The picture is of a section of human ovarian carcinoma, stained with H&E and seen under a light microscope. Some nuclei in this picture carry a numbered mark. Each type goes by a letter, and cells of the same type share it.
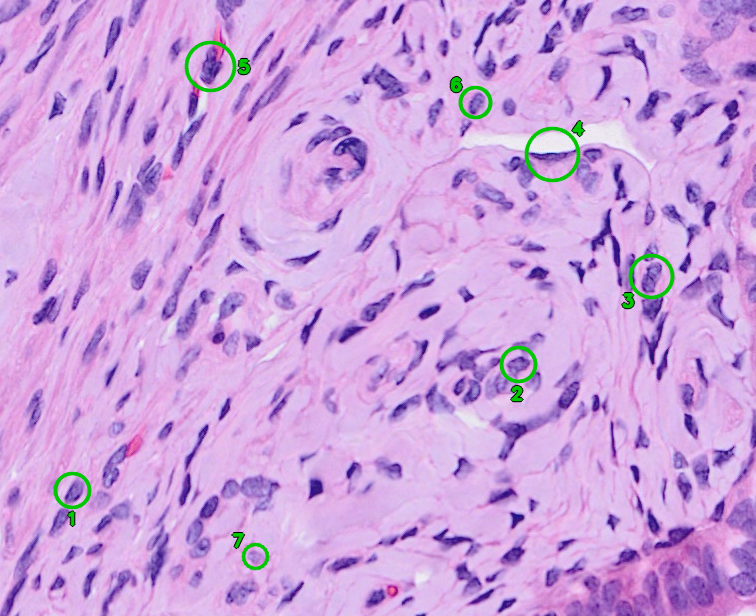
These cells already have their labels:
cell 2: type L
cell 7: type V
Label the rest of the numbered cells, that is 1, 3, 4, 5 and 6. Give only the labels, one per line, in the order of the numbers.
type V
type L
type L
type L
type V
